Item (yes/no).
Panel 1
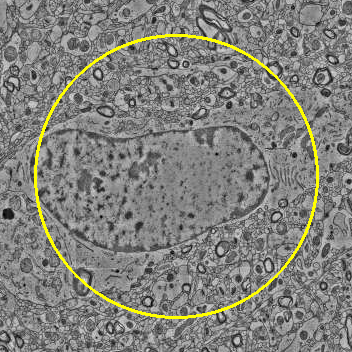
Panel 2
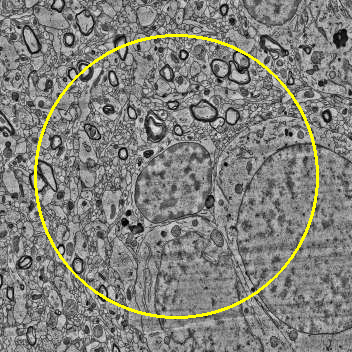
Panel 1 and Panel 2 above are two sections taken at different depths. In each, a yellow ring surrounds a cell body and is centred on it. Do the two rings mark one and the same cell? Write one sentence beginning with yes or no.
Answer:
No, the rings surround different cells rather than one cell.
